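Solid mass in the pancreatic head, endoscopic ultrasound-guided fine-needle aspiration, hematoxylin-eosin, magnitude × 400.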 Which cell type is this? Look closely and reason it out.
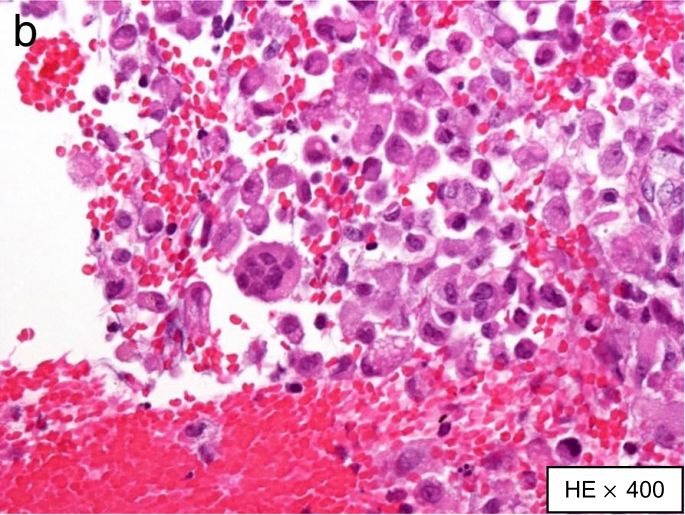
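Pleomorphic large atypical cells. Large cells with nuclei varying markedly in size and shape. Some cells are multinucleated or have very large nuclei. Cells lie loosely among abundant red blood cells.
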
